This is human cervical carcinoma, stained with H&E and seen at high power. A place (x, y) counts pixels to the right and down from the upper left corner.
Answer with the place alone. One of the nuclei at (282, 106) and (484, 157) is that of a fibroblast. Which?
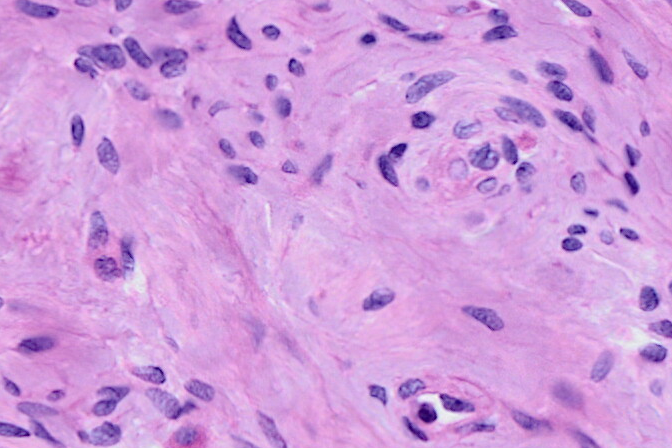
(282, 106)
